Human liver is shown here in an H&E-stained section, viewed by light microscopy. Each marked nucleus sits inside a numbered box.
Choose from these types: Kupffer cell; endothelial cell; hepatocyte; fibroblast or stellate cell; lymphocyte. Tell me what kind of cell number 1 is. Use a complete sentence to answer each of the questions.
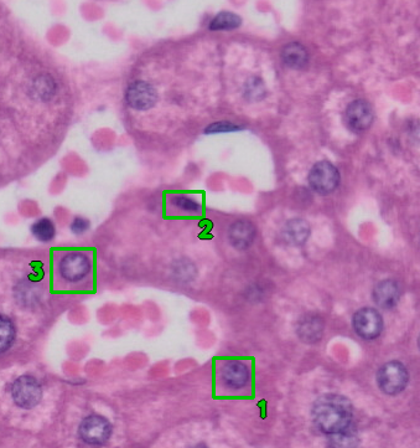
It is as a hepatocyte that the cell numbered 1 is identified.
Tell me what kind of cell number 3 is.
Among the marked cells, number 3 is a hepatocyte.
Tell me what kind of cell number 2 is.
The expected answer is that cell 2 is a fibroblast or stellate cell.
